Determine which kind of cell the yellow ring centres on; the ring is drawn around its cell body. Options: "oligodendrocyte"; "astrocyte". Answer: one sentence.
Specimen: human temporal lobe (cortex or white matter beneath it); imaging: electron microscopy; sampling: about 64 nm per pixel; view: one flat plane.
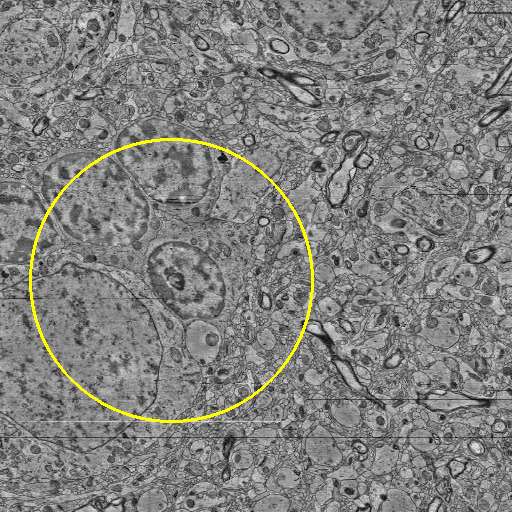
The ring centres on an oligodendrocyte.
